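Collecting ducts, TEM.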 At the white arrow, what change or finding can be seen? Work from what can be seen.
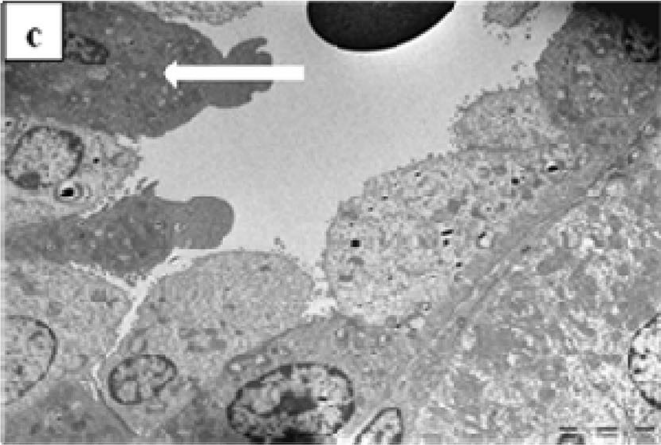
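Apoptotic cells. The arrow points to an electron-dense, dark cell among paler neighbours. The dark cell bulges into the lumen with rounded protrusions.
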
